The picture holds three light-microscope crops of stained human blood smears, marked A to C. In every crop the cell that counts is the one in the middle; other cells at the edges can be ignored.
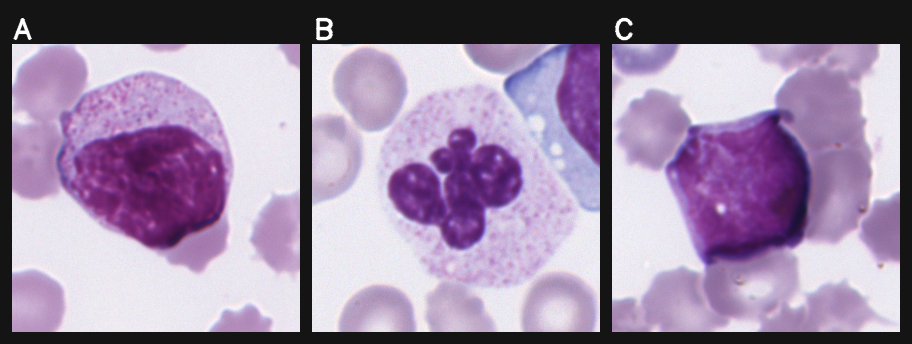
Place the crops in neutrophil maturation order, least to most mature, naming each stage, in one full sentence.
Ordered from the youngest stage to the most mature, the crops are crop C (a myeloblast), crop A (a myelocyte) and crop B (a segmented neutrophil).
